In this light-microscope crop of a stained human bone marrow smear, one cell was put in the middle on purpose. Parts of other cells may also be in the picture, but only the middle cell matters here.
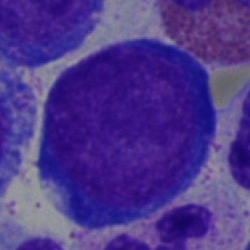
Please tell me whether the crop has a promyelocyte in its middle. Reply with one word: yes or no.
no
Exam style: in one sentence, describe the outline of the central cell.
Nothing juts out from the margin, which is smooth throughout.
